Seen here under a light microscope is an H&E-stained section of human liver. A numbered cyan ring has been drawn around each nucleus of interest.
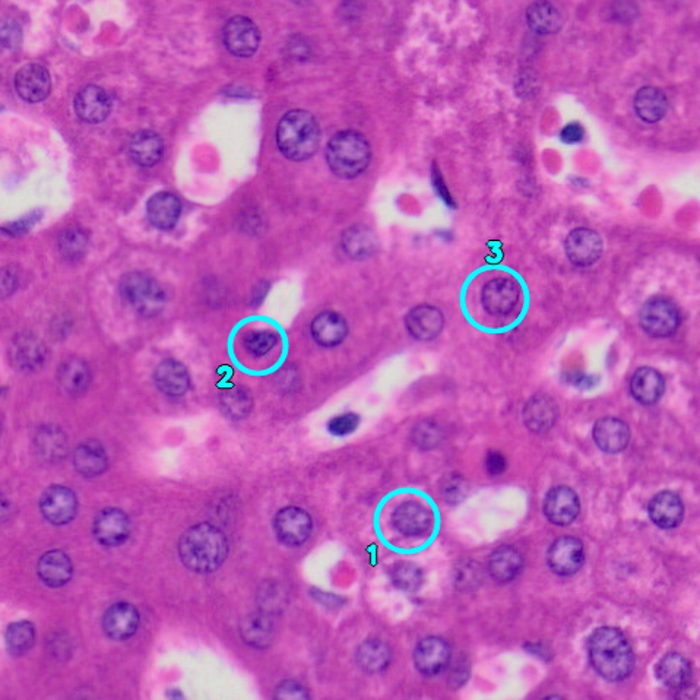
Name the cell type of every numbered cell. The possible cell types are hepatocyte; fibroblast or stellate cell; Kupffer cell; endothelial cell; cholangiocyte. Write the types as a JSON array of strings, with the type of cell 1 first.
["hepatocyte", "fibroblast or stellate cell", "hepatocyte"]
